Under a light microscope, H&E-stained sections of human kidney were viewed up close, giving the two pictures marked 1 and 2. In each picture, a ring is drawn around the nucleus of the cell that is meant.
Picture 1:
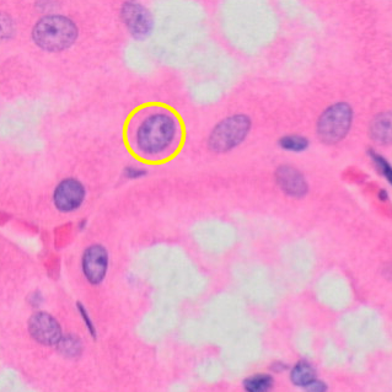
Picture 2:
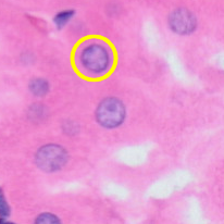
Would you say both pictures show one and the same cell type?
yes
